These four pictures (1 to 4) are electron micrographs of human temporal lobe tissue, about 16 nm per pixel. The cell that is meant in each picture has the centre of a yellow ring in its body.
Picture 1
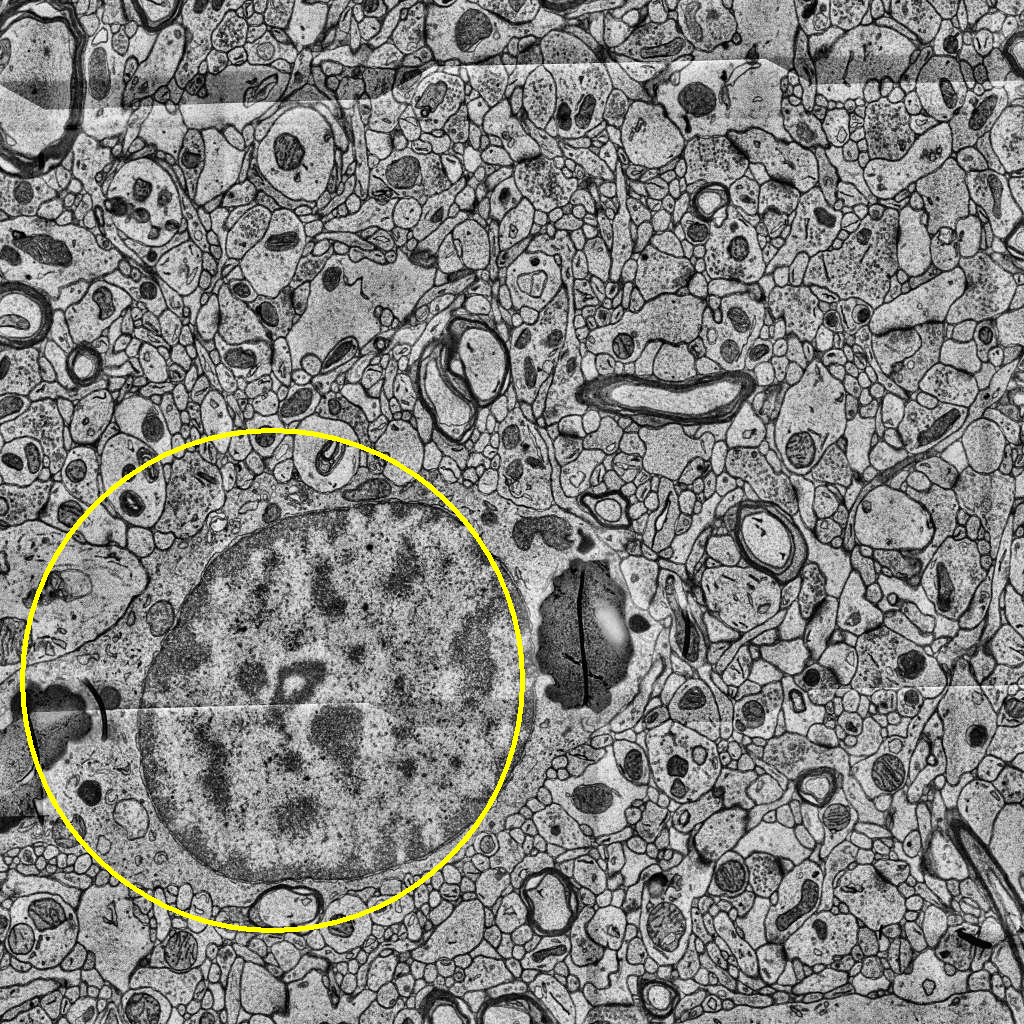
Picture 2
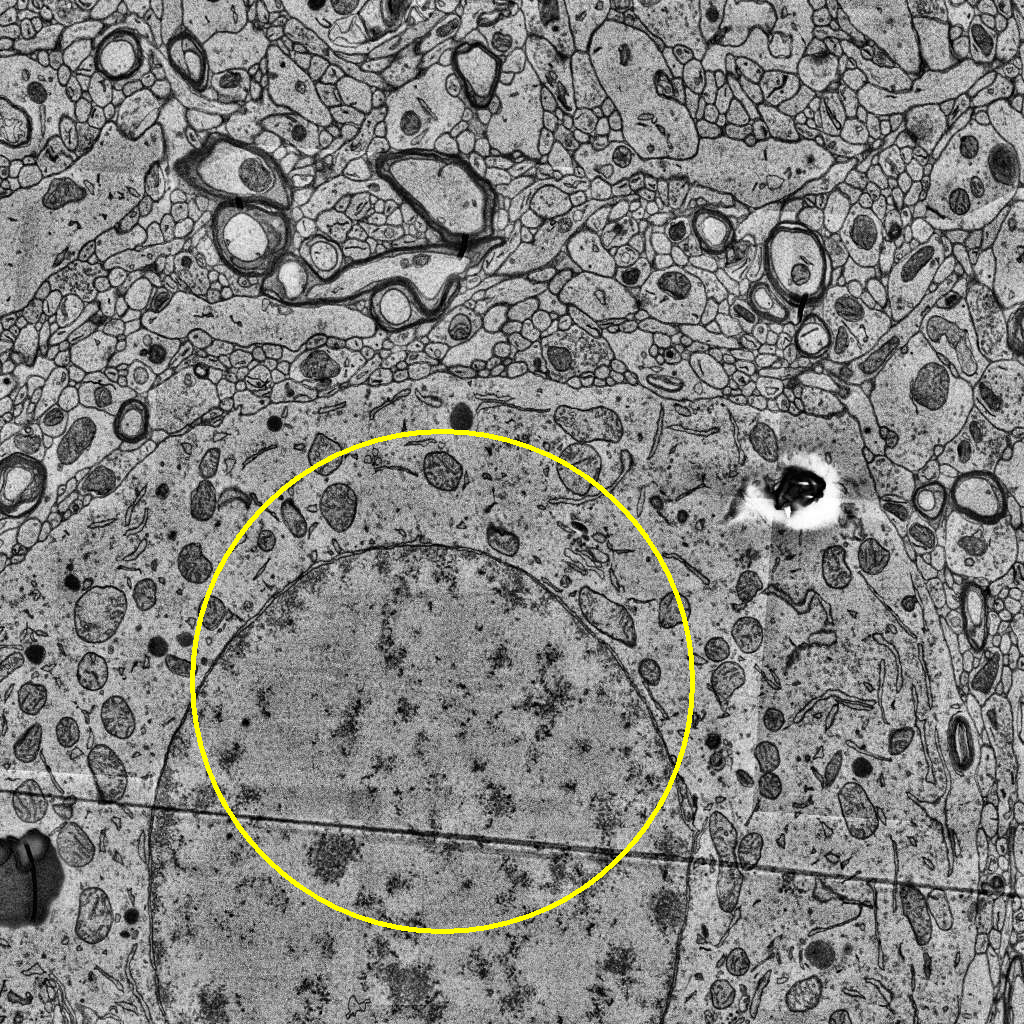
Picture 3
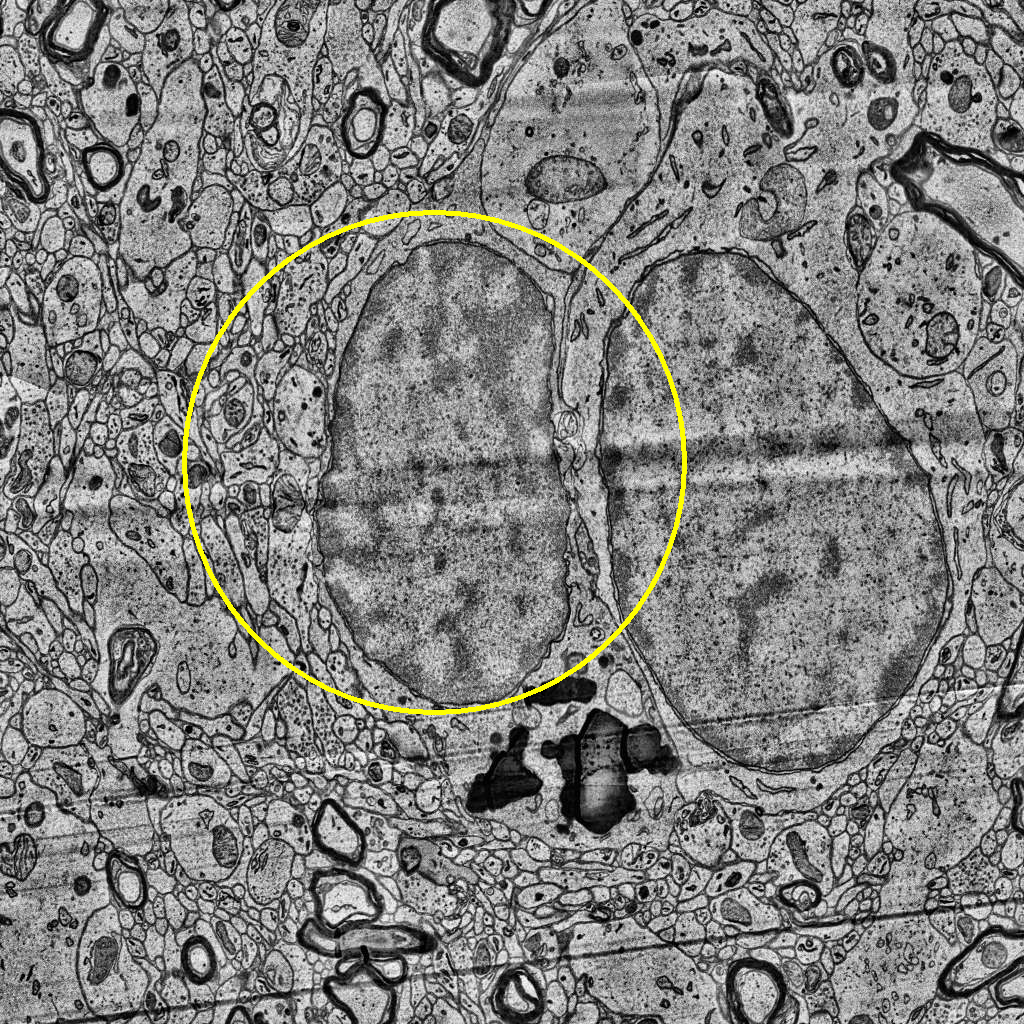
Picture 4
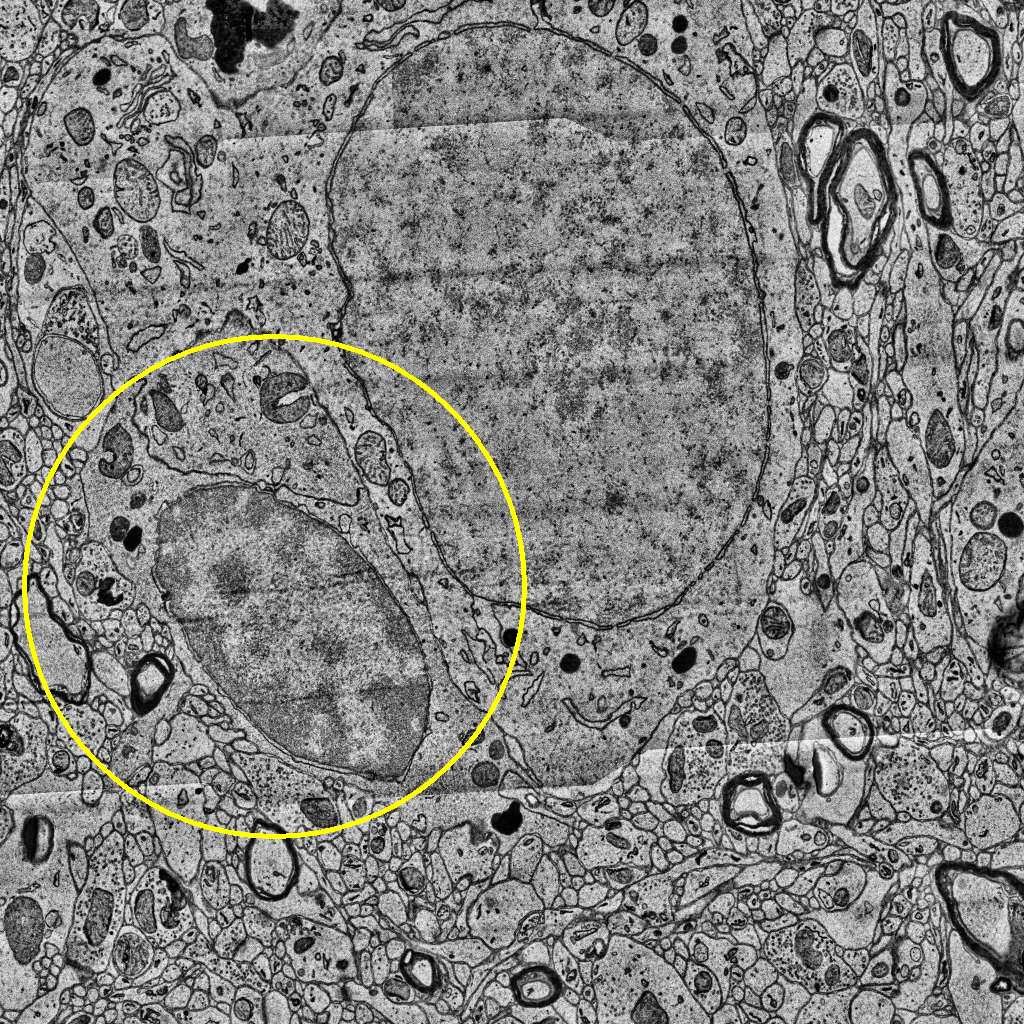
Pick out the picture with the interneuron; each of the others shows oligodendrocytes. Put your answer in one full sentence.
The picture with the interneuron is 2.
